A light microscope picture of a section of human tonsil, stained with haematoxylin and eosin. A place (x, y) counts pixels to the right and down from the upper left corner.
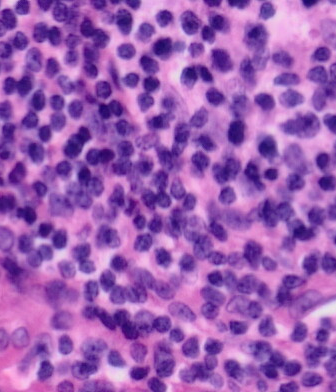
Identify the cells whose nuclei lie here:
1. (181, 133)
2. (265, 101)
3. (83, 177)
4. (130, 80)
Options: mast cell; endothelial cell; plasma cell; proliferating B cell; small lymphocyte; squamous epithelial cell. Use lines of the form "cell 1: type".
cell 1: small lymphocyte
cell 2: proliferating B cell
cell 3: small lymphocyte
cell 4: small lymphocyte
